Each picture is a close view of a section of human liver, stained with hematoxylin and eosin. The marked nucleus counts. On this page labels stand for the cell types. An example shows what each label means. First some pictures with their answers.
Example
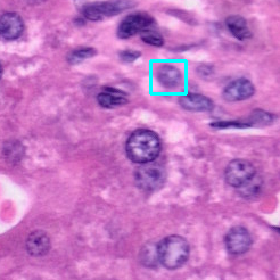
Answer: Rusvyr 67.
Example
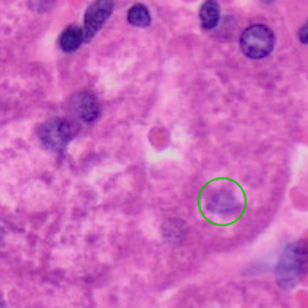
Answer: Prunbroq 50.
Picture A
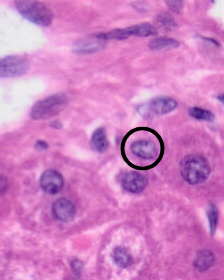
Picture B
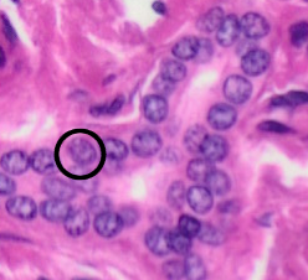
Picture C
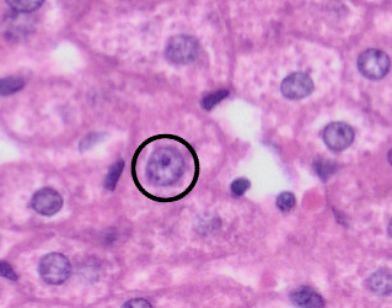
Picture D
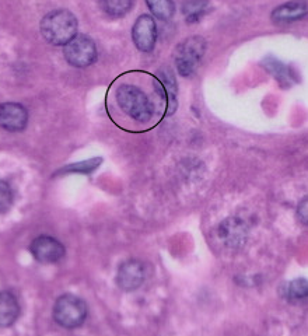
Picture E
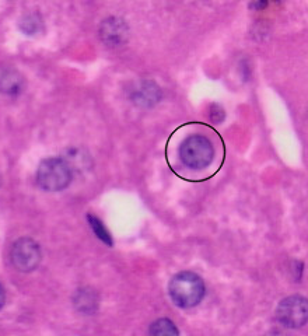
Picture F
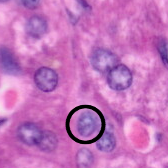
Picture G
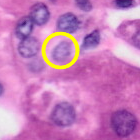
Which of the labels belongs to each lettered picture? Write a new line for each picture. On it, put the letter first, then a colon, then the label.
A: Rusvyr 67.
B: Rusvyr 67.
C: Prunbroq 50.
D: Rusvyr 67.
E: Prunbroq 50.
F: Rusvyr 67.
G: Rusvyr 67.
